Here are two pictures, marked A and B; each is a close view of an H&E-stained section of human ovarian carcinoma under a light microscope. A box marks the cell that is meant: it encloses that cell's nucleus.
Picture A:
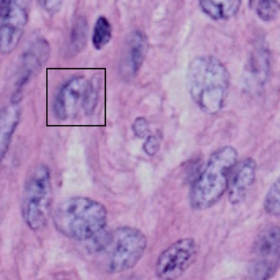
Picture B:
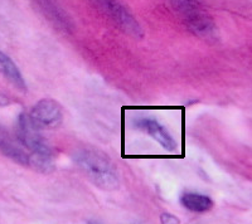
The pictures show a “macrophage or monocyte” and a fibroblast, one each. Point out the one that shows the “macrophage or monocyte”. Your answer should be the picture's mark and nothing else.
B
